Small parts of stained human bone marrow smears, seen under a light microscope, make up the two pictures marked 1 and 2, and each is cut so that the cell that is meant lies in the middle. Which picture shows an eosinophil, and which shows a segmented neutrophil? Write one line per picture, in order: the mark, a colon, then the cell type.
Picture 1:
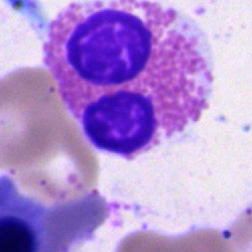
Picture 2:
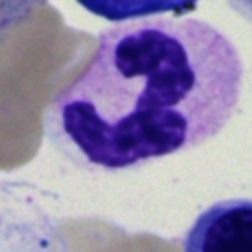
1: eosinophil
2: segmented neutrophil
